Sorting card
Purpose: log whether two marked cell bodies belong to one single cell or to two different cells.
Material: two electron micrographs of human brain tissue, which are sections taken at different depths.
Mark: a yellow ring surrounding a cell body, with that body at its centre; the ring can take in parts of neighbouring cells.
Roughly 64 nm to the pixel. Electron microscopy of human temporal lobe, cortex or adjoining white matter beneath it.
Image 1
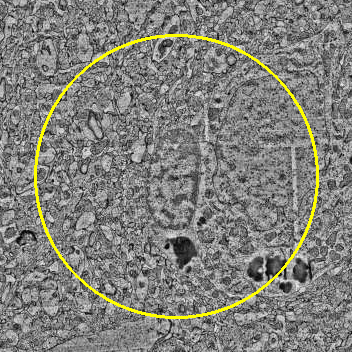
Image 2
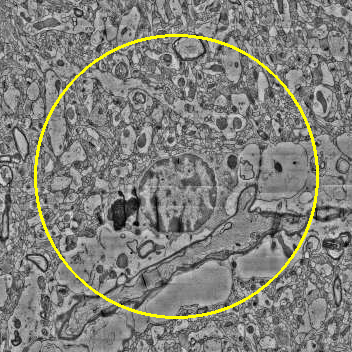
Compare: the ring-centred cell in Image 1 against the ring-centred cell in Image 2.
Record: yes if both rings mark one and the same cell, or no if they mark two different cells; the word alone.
no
